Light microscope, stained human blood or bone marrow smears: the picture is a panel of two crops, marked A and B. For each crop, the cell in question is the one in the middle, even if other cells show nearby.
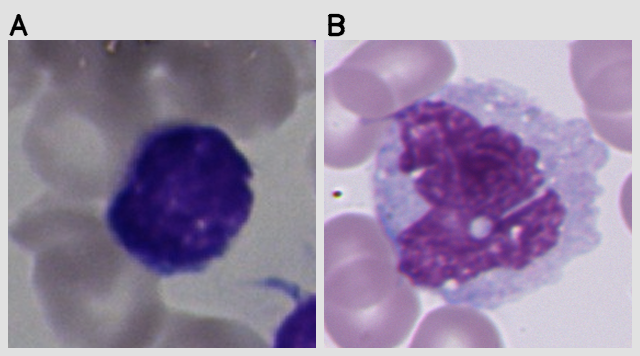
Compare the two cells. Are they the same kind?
no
